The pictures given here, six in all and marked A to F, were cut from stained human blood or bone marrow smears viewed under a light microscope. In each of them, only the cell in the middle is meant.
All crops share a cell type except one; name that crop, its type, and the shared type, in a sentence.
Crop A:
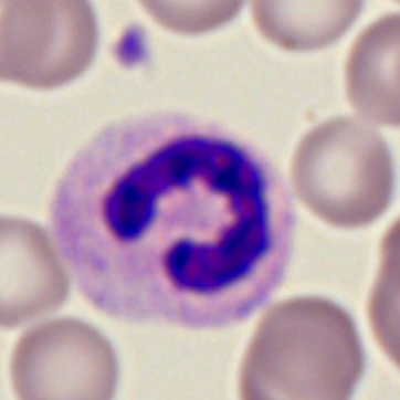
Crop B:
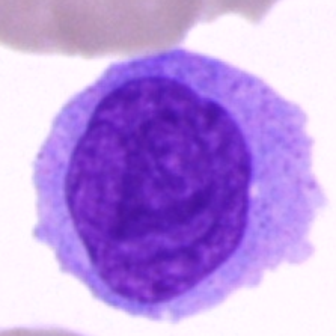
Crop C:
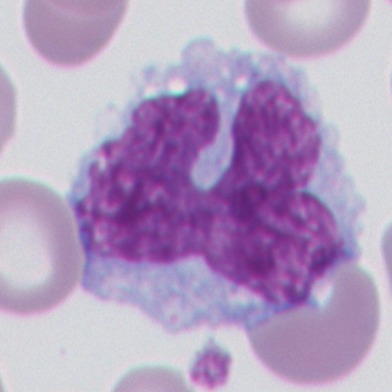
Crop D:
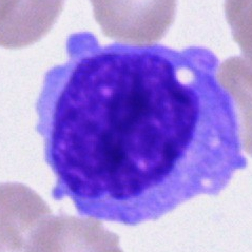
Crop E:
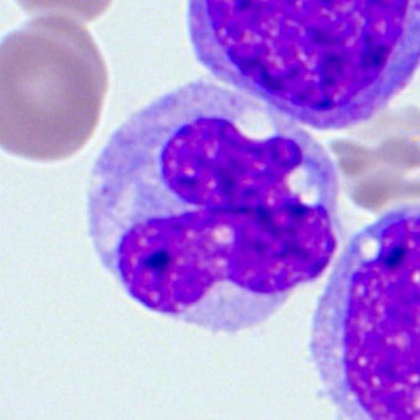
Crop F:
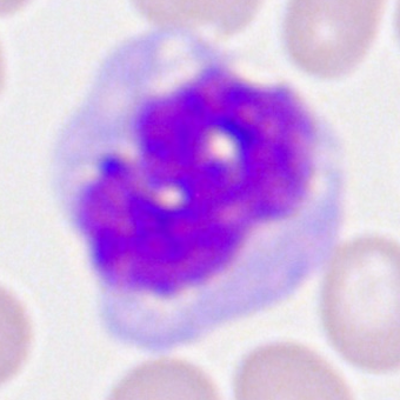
Crop A is the outlier, with a band neutrophil against monocytes in the rest.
